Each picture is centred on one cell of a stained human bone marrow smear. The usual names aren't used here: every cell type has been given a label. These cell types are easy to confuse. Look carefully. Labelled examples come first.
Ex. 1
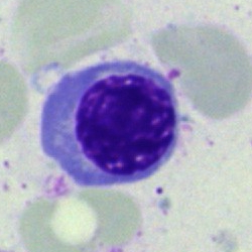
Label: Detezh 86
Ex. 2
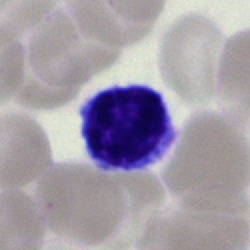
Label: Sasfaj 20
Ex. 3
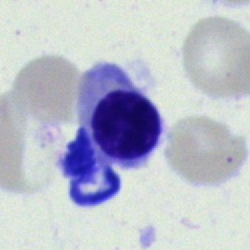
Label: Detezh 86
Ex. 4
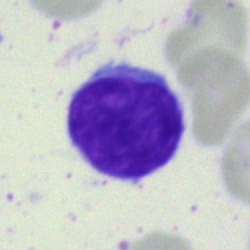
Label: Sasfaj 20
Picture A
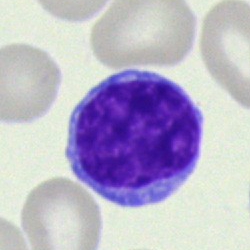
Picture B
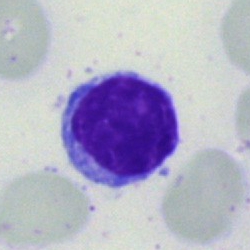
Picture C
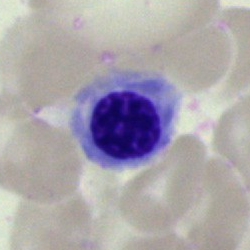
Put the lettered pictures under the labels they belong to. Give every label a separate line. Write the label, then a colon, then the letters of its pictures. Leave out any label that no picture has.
Detezh 86: C
Sasfaj 20: A, B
